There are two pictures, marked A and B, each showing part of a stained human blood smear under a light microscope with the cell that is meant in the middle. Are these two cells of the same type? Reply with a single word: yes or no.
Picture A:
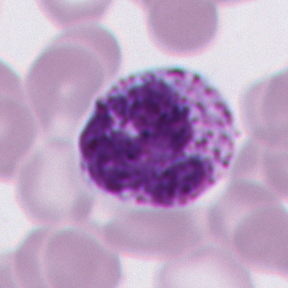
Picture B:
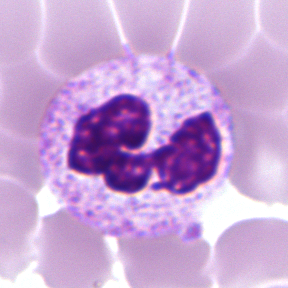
no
